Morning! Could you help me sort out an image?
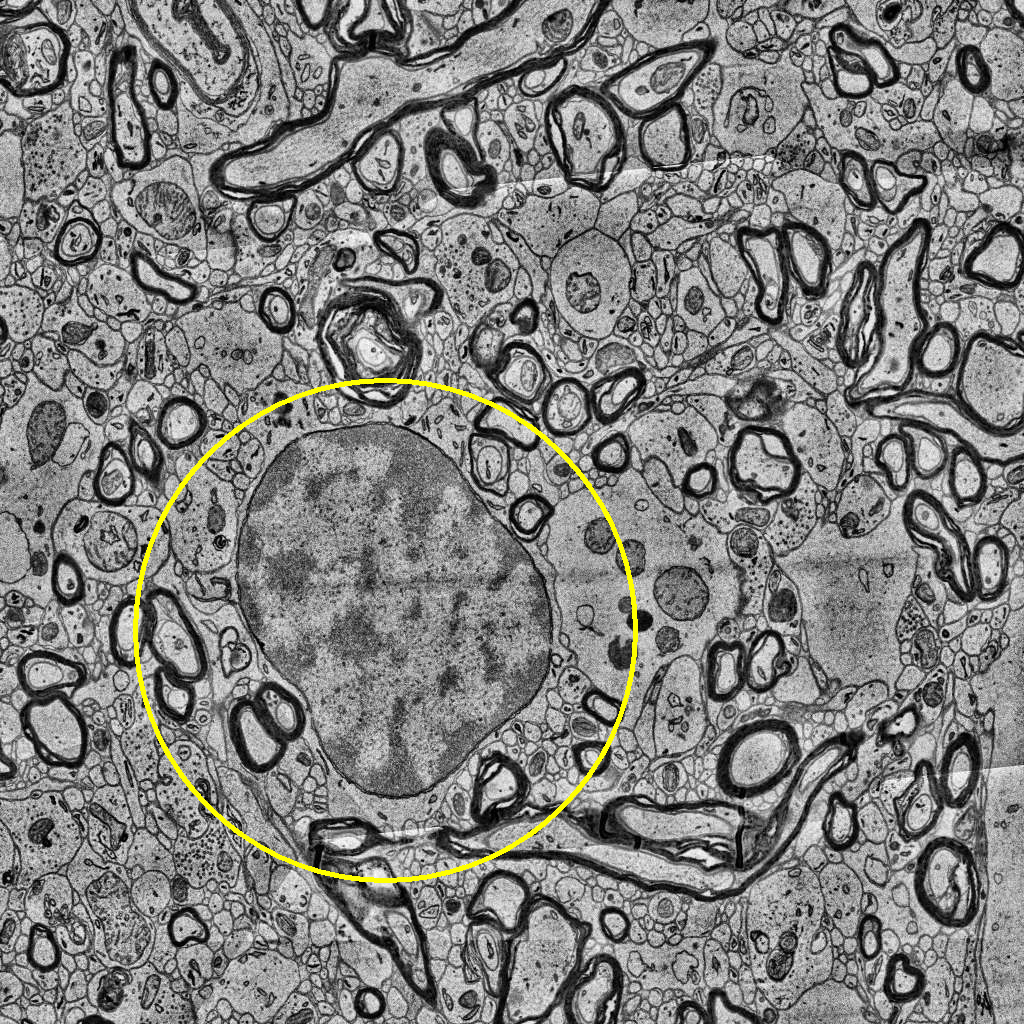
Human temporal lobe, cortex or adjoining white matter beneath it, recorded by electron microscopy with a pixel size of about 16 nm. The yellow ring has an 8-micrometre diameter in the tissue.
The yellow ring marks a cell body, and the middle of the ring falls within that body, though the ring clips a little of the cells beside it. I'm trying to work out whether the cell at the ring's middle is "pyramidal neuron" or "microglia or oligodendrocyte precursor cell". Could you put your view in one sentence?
The cell body at the ring's middle is that of a microglial cell or oligodendrocyte precursor cell.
